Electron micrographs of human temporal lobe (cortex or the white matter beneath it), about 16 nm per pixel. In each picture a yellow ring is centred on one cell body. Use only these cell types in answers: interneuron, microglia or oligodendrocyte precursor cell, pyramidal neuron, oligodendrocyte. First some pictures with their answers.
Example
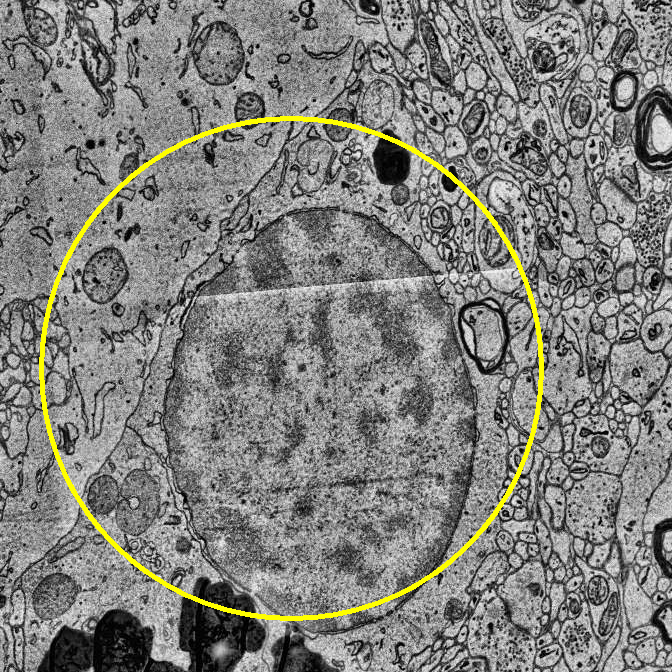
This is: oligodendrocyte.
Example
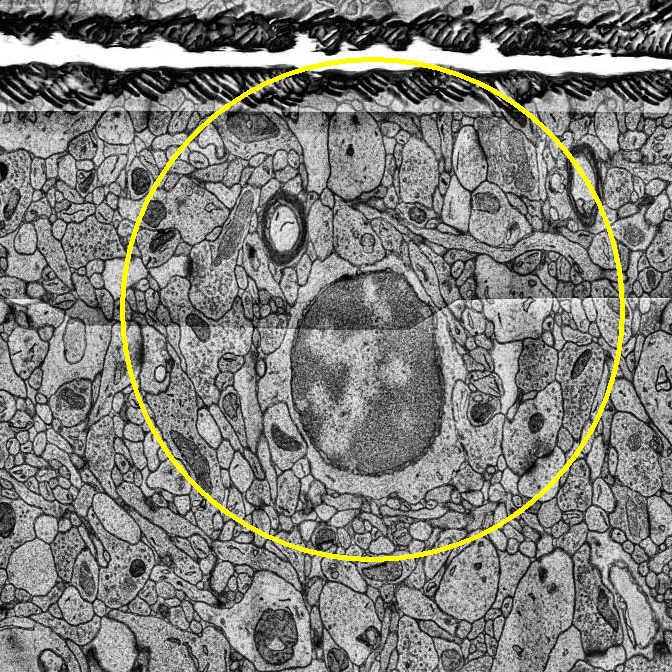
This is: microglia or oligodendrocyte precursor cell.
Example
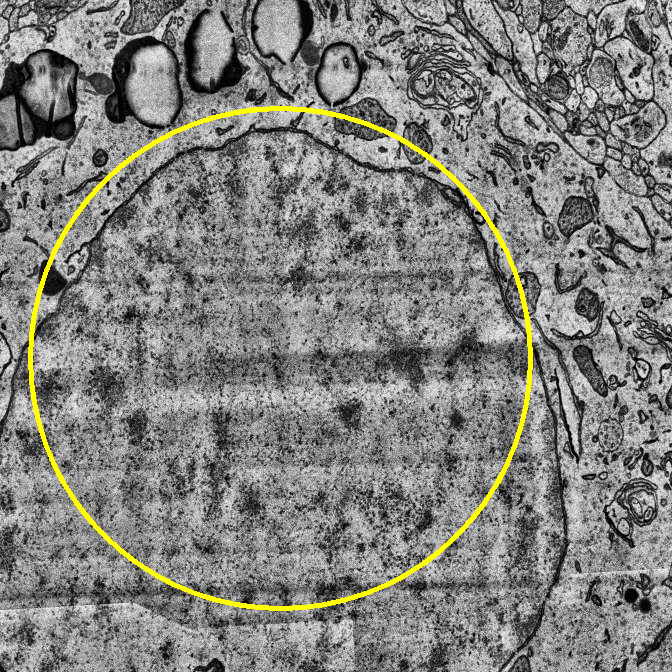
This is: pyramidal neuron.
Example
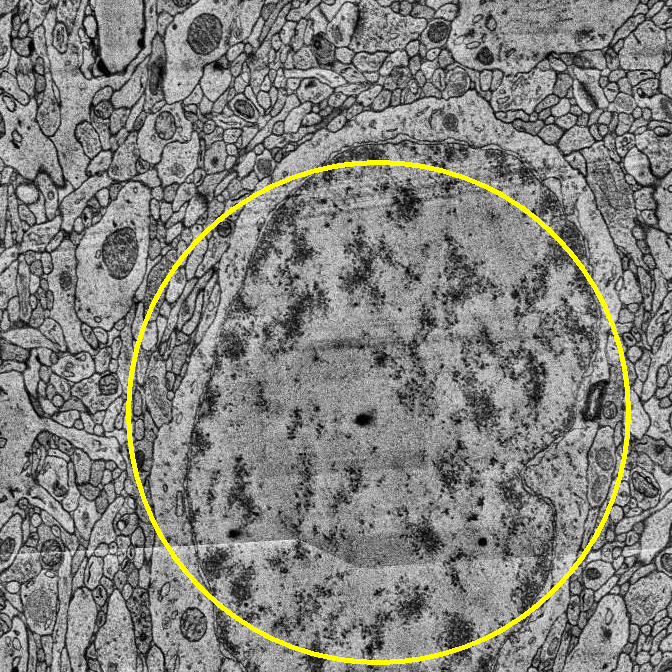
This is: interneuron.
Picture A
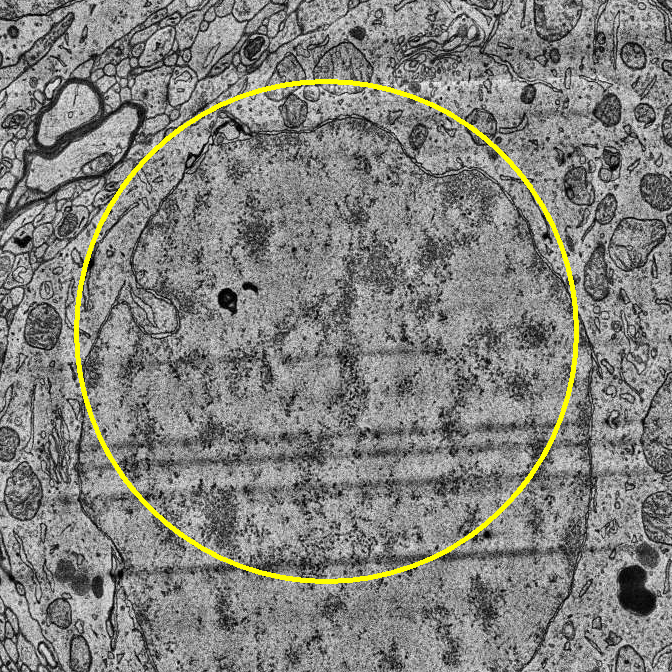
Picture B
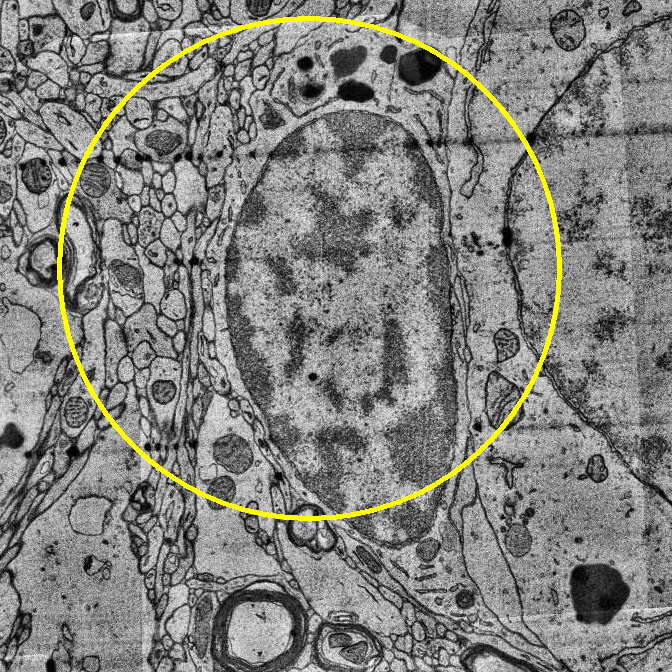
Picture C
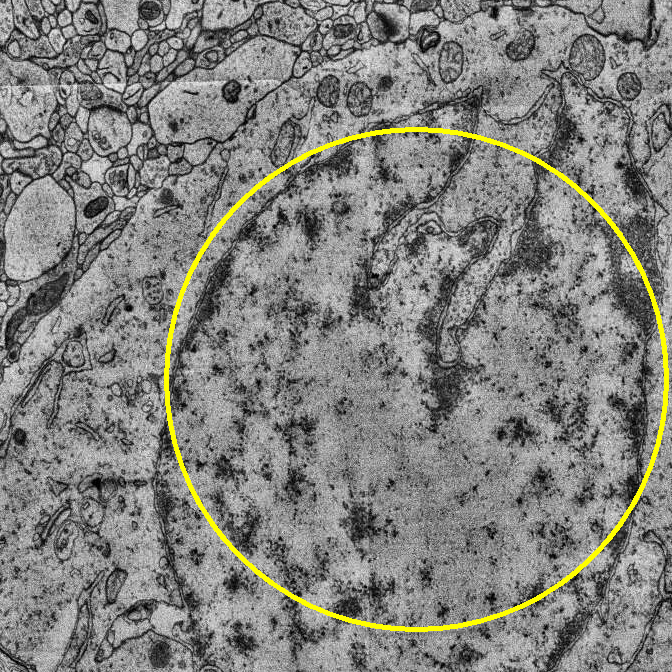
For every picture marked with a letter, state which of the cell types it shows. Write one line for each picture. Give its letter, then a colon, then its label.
A: interneuron.
B: microglia or oligodendrocyte precursor cell.
C: interneuron.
